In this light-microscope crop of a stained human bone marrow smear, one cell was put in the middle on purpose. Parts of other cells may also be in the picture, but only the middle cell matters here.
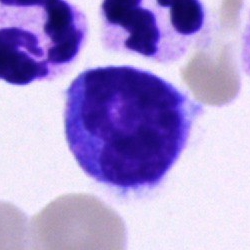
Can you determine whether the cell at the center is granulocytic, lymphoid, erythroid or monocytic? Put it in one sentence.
The cell in the middle is allocated to the monocytic lineage.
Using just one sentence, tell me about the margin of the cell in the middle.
No smooth contour is present; the border is ragged or extended into projections.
